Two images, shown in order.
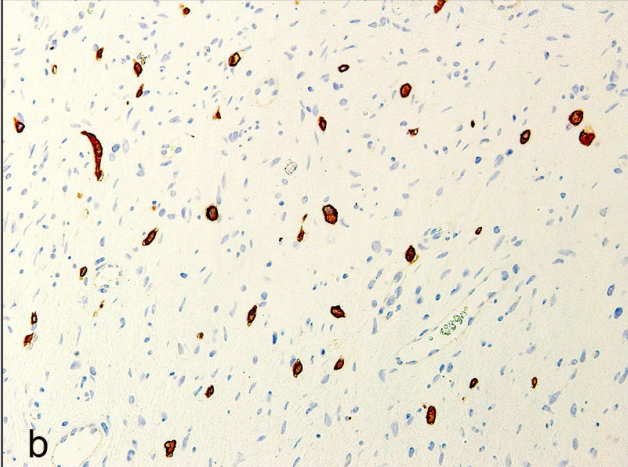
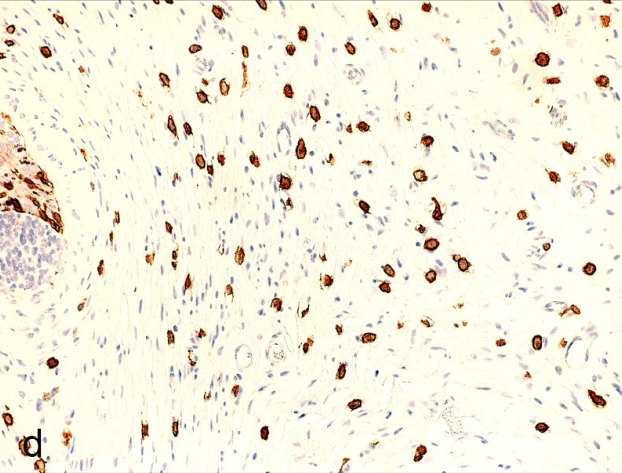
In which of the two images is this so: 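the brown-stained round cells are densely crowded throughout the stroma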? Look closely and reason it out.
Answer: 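Second image: brown round cells are numerous and closely spaced across the whole field. First image: brown round cells are fewer and more widely spaced. The answer: the second image.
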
